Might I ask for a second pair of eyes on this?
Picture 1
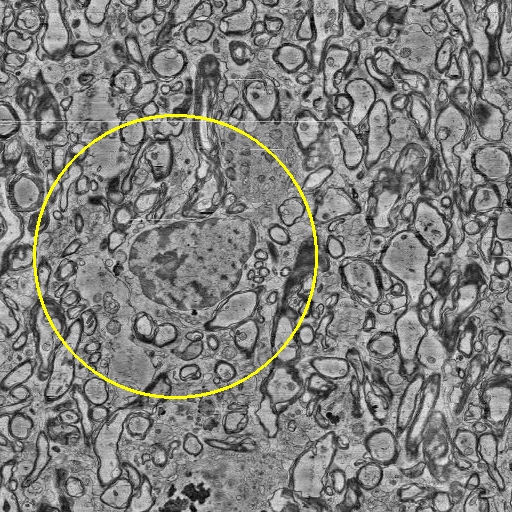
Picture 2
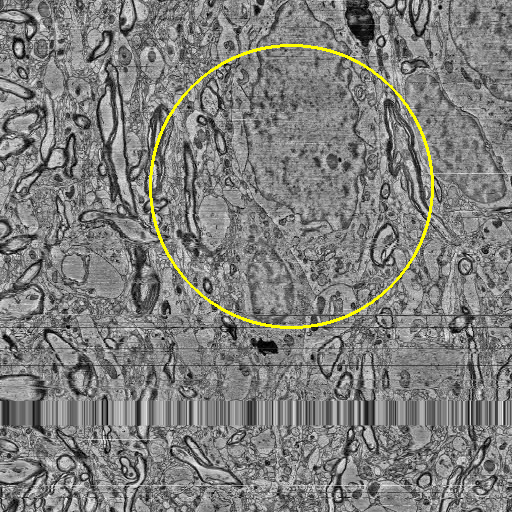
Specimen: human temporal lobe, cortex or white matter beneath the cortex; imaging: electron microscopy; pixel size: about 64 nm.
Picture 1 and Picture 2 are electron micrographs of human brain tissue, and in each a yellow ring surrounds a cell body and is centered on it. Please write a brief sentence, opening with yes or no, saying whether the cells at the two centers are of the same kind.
No, the cells are of two kinds.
